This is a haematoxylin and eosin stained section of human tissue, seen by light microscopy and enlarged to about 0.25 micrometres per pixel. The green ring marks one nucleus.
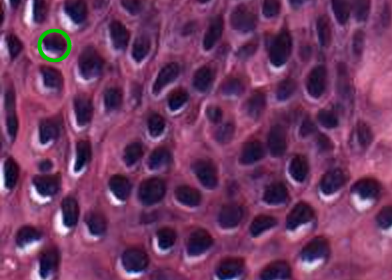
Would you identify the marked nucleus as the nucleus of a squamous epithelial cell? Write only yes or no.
yes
